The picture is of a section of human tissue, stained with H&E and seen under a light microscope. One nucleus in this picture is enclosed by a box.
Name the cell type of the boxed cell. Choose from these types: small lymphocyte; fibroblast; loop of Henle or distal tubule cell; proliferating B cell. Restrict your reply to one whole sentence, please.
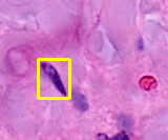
Among the cells in this section, the boxed cell is a fibroblast.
